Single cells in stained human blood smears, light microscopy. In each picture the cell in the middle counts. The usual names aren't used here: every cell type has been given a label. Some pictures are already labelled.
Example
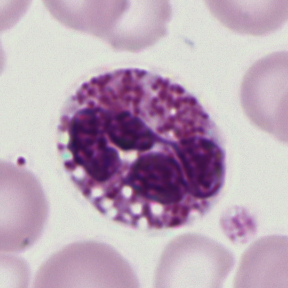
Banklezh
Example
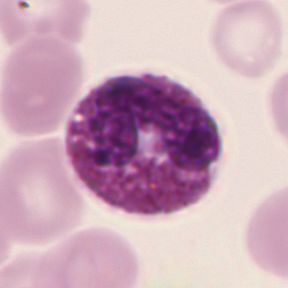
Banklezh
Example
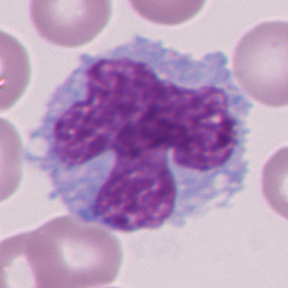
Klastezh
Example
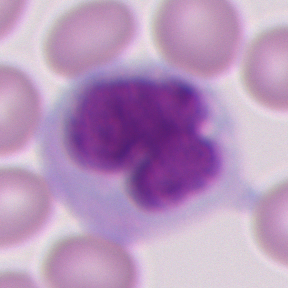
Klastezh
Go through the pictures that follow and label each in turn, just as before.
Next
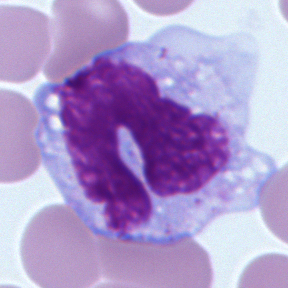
Klastezh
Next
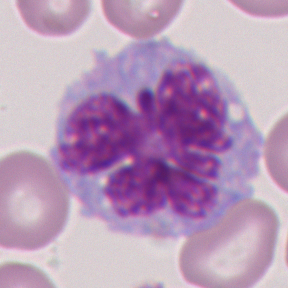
Klastezh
